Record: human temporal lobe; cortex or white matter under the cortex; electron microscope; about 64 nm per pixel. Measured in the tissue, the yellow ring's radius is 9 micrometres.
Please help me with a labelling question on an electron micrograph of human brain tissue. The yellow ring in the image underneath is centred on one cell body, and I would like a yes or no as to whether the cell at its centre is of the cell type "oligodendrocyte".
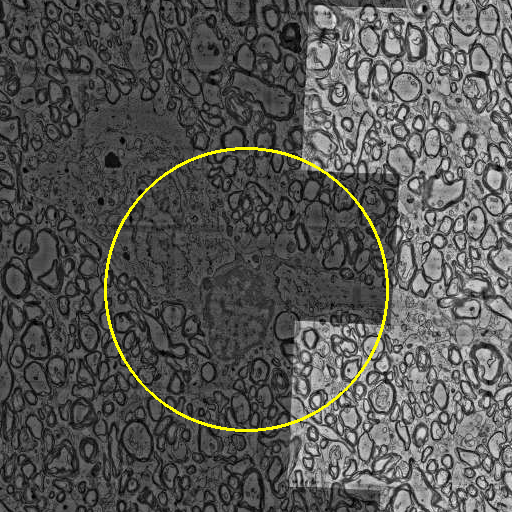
yes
